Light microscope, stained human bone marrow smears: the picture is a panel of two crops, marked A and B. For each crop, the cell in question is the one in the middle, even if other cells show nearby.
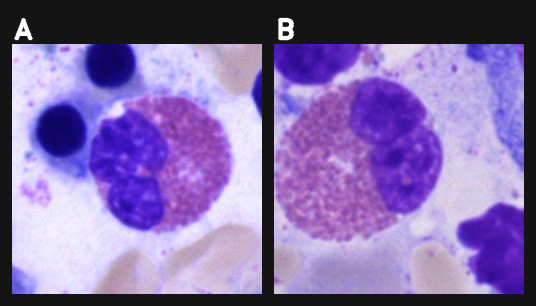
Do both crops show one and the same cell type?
yes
